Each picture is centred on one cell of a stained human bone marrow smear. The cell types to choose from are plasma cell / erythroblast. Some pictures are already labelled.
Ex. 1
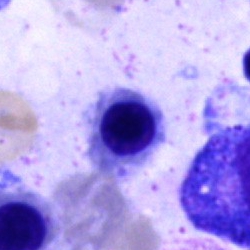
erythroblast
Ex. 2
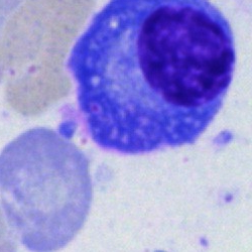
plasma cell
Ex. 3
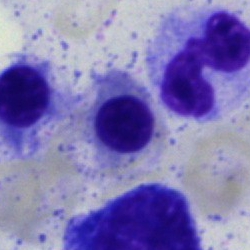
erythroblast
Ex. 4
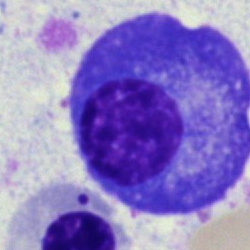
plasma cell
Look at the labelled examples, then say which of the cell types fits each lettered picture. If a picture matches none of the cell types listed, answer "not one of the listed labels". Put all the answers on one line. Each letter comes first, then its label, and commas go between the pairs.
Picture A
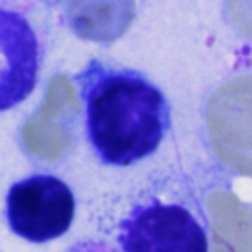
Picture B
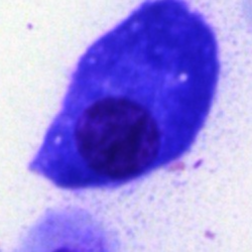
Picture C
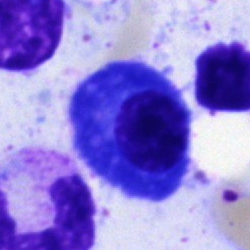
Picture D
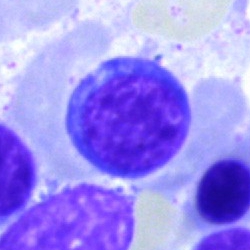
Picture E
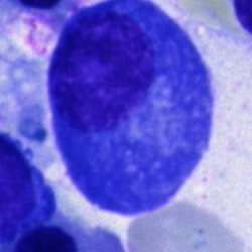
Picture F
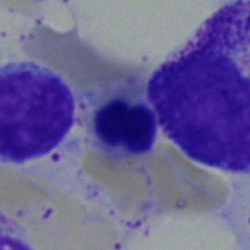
A not one of the listed labels, B plasma cell, C plasma cell, D not one of the listed labels, E plasma cell, F erythroblast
